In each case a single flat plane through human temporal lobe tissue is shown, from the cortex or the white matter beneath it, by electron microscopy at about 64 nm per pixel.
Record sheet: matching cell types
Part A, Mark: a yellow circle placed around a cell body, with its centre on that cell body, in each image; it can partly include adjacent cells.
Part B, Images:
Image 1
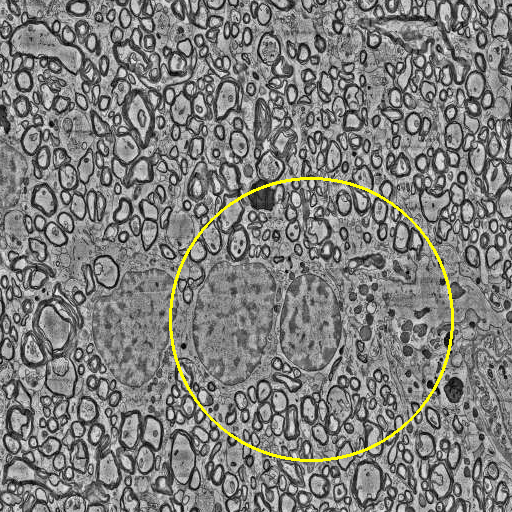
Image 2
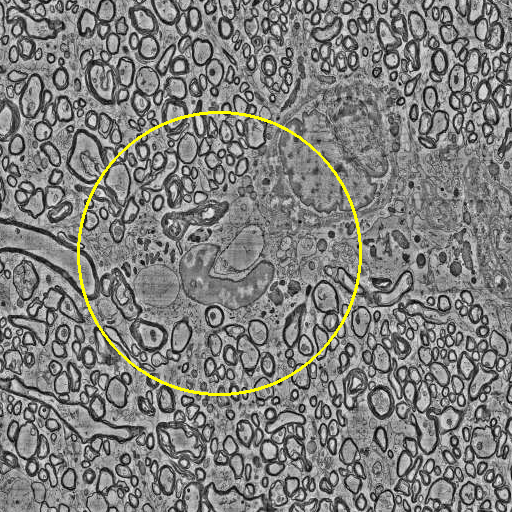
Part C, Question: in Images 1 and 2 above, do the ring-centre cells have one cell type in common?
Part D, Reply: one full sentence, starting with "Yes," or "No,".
Yes, the ring-centre cells of Image 1 and Image 2 are both of a single cell type.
